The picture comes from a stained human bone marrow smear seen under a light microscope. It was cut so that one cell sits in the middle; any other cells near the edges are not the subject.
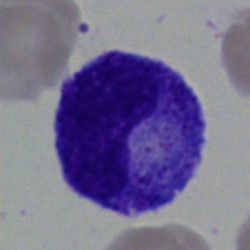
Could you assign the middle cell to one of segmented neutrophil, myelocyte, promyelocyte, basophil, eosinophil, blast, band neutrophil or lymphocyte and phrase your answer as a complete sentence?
The middle of this crop holds a promyelocyte.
